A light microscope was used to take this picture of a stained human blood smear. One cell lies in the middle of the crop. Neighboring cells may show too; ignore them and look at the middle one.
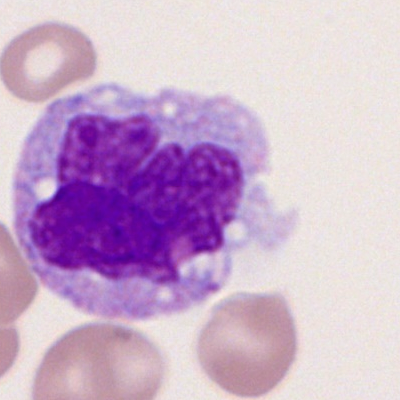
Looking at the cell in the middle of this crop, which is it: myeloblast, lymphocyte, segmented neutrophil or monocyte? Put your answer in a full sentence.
The cell around which this crop is centred is a monocyte.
